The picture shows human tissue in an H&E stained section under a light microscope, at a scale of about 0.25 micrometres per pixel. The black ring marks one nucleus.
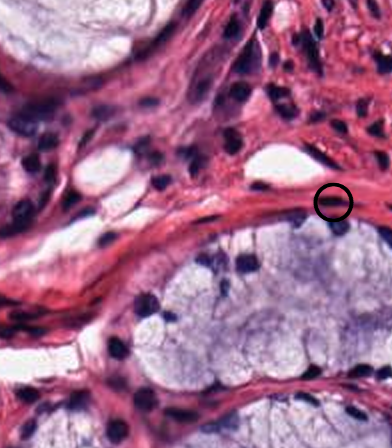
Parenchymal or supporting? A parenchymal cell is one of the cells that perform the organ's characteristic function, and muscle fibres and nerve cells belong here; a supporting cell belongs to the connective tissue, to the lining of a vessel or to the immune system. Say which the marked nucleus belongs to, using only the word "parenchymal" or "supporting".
supporting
